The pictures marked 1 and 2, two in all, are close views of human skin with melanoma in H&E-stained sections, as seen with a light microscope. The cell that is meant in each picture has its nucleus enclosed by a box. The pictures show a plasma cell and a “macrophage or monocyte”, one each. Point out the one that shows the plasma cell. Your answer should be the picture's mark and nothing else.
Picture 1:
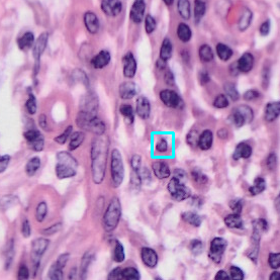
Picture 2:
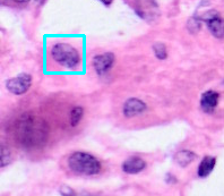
1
